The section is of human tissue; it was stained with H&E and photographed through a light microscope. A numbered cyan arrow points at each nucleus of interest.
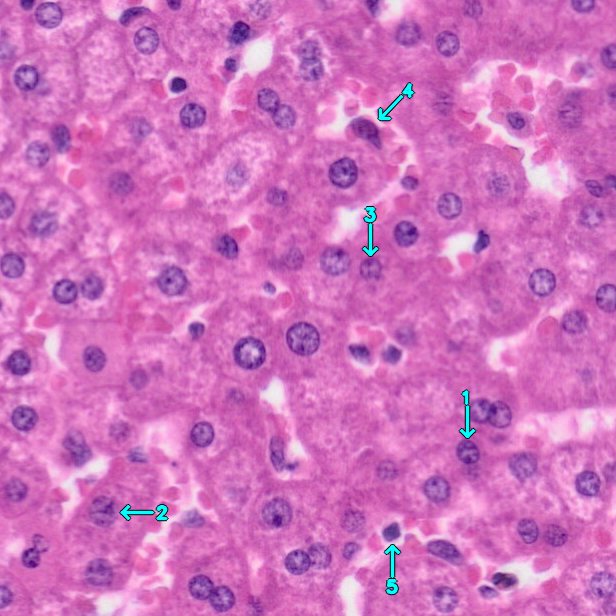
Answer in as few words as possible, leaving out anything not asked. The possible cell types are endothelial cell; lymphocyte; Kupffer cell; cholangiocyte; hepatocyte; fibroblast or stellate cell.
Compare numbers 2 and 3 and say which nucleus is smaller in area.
3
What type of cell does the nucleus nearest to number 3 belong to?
hepatocyte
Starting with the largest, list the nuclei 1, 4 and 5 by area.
4, 1, 5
